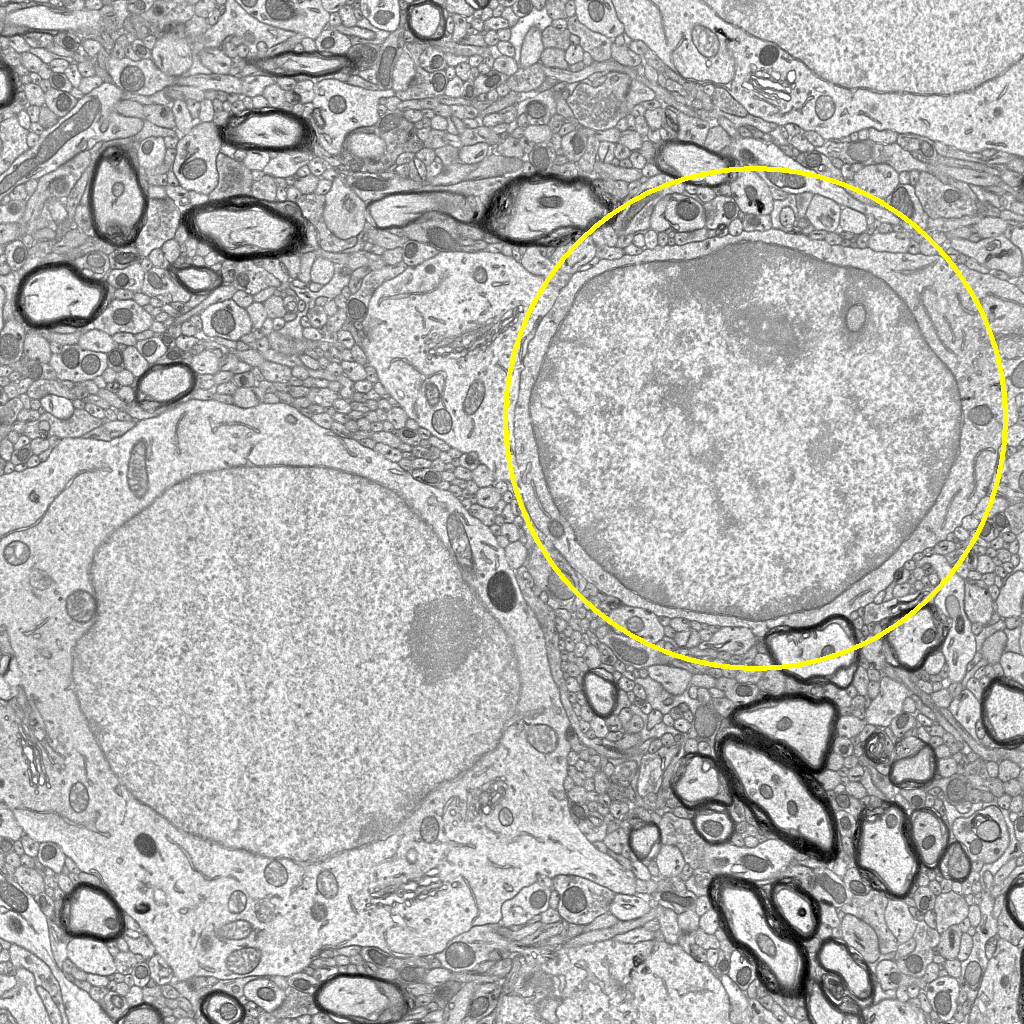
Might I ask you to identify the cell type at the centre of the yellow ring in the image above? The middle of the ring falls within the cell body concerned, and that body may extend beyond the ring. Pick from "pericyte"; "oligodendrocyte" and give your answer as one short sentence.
The centre of the ring falls on an oligodendrocyte.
